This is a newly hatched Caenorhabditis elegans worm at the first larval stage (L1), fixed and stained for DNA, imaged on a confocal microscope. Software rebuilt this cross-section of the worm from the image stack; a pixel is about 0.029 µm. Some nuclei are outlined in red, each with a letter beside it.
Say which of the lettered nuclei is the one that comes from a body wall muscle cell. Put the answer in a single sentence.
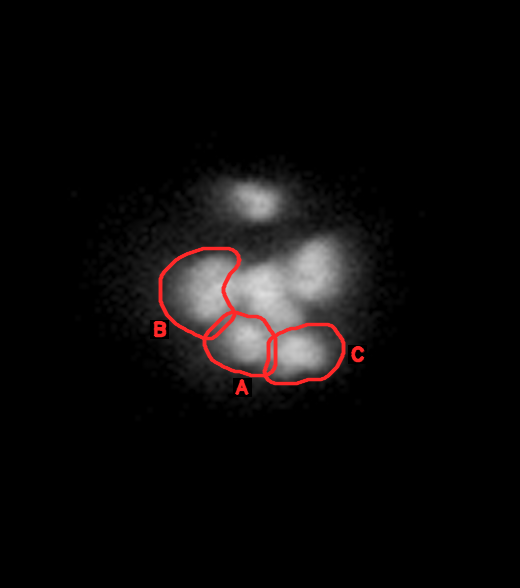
C is the one that belongs to a body wall muscle cell.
